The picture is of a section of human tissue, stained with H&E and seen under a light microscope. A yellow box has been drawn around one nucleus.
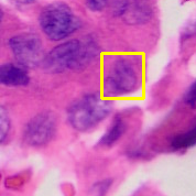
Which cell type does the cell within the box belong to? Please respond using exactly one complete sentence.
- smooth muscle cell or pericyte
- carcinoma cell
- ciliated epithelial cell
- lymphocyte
Within this tissue, the cell within the box is a carcinoma cell.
